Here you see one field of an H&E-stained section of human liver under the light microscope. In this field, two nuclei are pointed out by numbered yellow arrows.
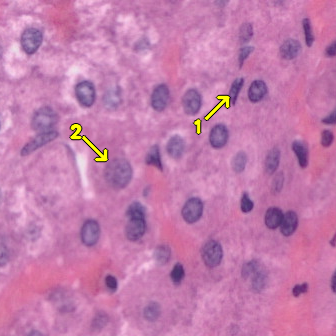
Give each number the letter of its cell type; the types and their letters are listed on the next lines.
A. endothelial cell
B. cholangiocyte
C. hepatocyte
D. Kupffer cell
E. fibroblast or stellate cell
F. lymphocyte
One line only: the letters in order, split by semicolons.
E; C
